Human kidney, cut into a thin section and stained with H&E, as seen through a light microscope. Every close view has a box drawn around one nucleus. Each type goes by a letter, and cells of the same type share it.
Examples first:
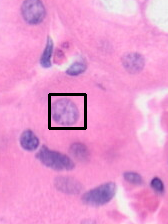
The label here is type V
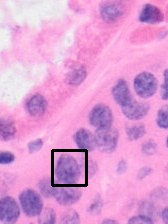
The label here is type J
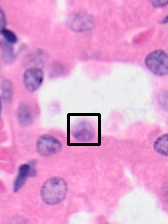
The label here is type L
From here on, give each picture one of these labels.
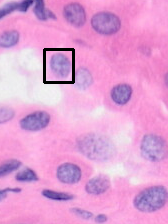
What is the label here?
type L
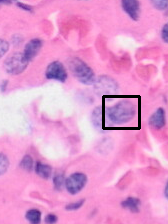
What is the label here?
type J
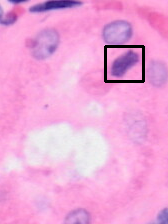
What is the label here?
type V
